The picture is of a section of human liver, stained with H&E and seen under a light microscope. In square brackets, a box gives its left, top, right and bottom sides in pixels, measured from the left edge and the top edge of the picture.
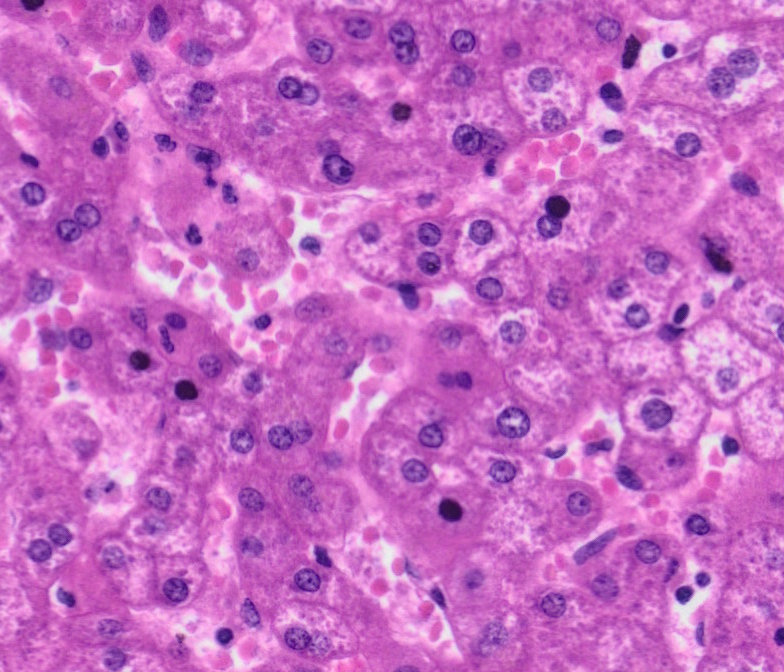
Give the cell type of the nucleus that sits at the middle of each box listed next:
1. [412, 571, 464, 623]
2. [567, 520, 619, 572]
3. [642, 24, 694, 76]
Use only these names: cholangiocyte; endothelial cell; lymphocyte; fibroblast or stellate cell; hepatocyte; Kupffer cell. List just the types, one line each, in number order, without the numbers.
fibroblast or stellate cell
Kupffer cell
lymphocyte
